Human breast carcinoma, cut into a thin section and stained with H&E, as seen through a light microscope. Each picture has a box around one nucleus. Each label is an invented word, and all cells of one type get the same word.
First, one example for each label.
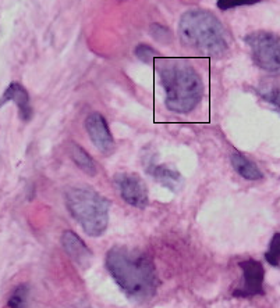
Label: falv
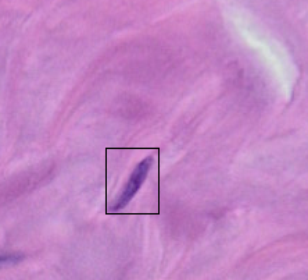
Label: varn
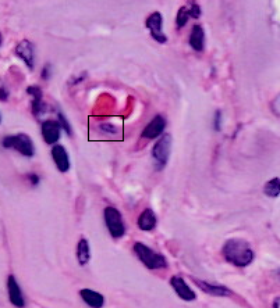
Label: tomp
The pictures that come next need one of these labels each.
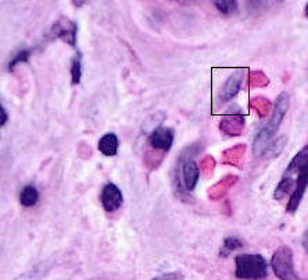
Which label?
tomp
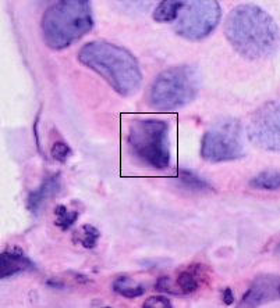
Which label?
falv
